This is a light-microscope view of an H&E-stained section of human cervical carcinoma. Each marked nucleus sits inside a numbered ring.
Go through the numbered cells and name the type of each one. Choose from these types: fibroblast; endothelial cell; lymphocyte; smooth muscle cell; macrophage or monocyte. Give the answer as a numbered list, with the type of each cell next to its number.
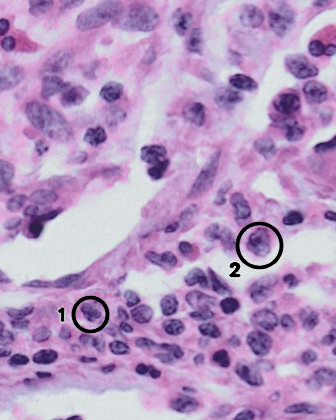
1. lymphocyte
2. macrophage or monocyte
